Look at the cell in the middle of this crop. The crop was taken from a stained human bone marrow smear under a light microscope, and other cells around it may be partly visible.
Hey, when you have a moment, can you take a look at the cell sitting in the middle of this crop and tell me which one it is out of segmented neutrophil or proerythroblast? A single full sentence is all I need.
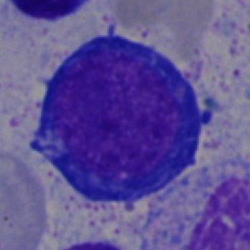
The cell occupying the middle of the crop is a proerythroblast.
